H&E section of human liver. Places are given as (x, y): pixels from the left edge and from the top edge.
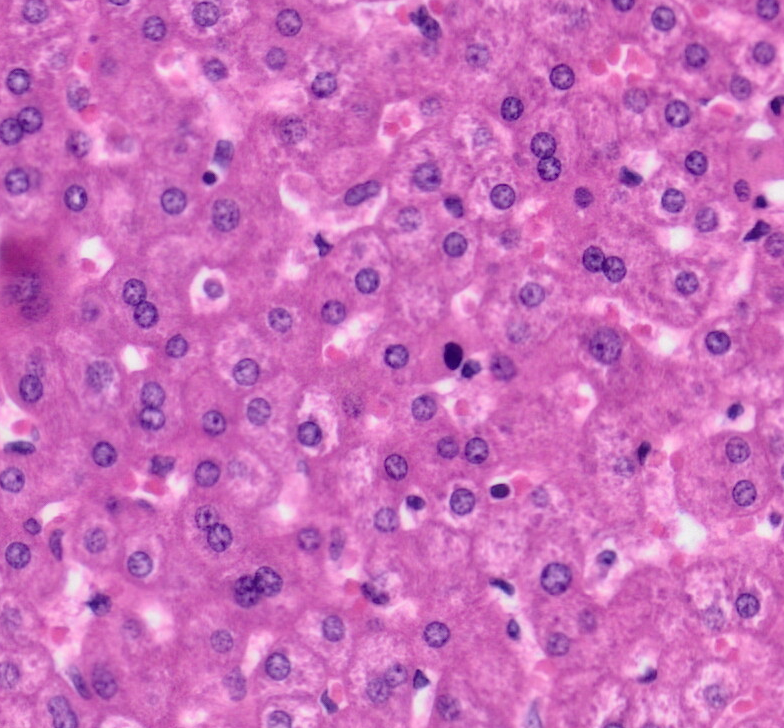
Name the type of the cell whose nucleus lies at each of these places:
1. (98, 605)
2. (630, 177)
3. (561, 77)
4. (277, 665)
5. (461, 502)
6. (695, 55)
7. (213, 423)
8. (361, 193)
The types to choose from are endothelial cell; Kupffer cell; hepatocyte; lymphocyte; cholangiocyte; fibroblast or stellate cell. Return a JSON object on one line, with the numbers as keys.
{"1": "endothelial cell", "2": "endothelial cell", "3": "hepatocyte", "4": "hepatocyte", "5": "hepatocyte", "6": "hepatocyte", "7": "hepatocyte", "8": "Kupffer cell"}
